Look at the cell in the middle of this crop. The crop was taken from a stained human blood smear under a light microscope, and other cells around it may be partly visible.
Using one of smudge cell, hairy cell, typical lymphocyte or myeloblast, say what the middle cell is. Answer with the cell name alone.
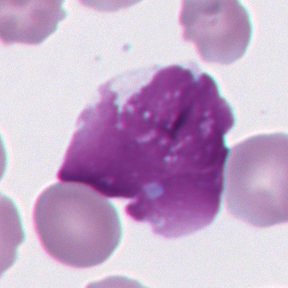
smudge cell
